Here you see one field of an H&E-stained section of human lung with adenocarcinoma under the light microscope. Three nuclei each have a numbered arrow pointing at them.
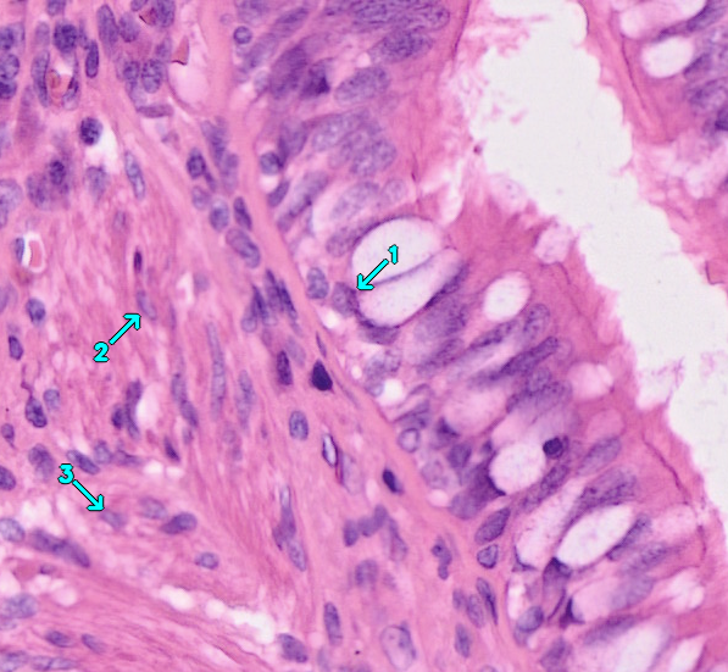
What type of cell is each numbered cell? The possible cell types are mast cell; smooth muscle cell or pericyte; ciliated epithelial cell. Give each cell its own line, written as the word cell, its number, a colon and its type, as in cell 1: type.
cell 1: ciliated epithelial cell
cell 2: smooth muscle cell or pericyte
cell 3: smooth muscle cell or pericyte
